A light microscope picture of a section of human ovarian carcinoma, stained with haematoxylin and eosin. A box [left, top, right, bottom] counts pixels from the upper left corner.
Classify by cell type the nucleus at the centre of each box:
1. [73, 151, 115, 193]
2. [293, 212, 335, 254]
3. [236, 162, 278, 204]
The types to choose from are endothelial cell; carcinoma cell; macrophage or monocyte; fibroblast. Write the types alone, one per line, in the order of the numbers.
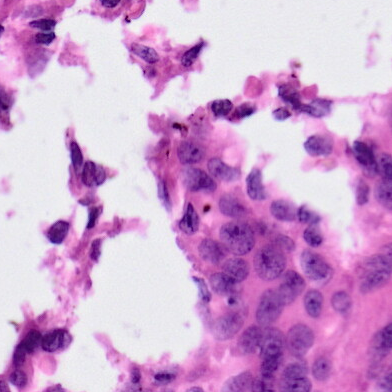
carcinoma cell
macrophage or monocyte
macrophage or monocyte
